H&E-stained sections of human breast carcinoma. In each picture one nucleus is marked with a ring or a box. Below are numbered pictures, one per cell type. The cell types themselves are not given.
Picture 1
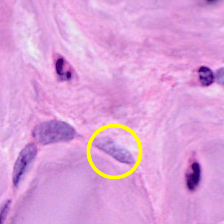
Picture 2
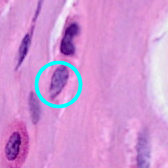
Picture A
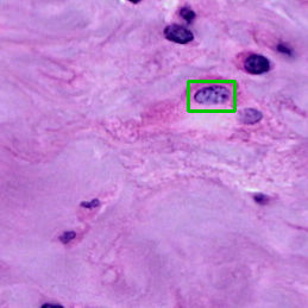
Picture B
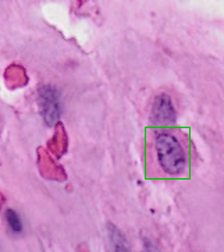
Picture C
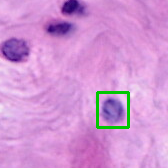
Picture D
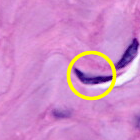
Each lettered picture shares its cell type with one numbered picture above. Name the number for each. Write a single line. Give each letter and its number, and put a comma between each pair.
A 2, B 2, C 2, D 1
